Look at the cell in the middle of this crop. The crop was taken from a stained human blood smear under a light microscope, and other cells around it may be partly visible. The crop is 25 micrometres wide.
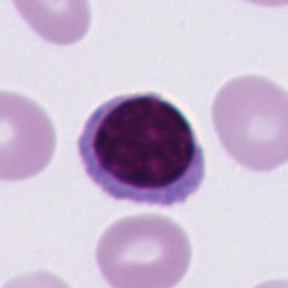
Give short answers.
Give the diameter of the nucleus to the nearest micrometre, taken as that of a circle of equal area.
8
